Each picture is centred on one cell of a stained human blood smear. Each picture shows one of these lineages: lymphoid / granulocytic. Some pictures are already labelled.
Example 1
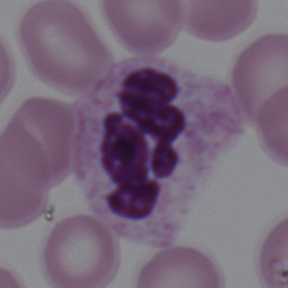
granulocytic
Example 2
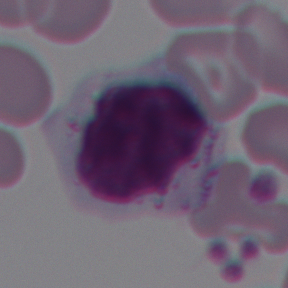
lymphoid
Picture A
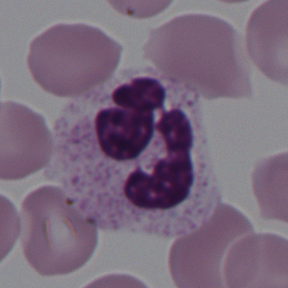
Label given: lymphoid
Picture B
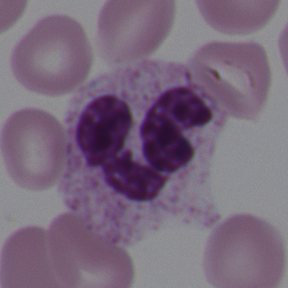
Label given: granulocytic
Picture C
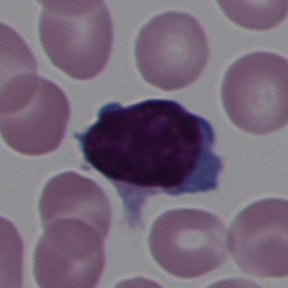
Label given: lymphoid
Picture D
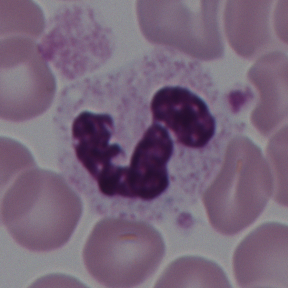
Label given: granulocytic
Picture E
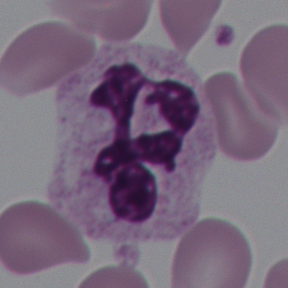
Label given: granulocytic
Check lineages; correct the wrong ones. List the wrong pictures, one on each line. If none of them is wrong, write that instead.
A: granulocytic, not lymphoid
